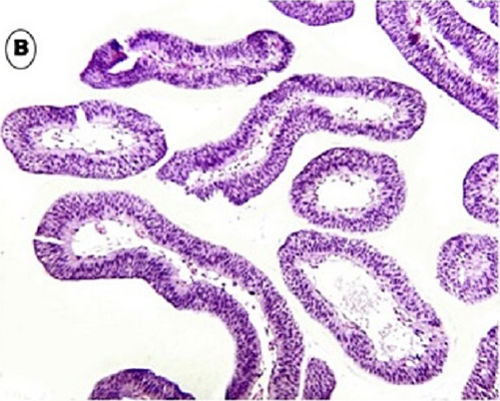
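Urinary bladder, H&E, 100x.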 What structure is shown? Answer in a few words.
Fibrovascular cores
